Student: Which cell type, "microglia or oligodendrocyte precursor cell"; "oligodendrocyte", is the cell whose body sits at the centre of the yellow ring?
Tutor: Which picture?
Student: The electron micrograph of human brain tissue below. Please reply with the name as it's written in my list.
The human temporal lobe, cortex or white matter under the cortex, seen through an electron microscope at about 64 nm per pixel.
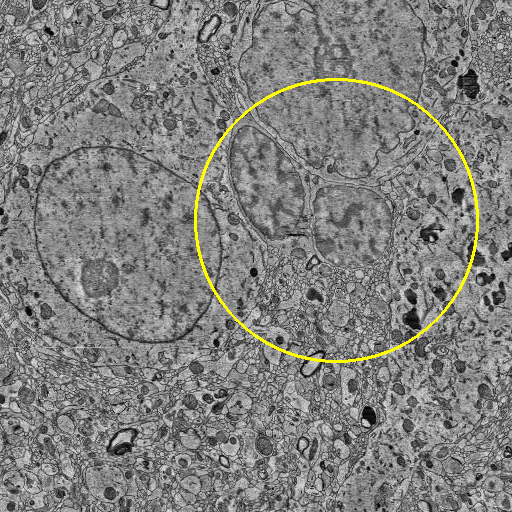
oligodendrocyte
